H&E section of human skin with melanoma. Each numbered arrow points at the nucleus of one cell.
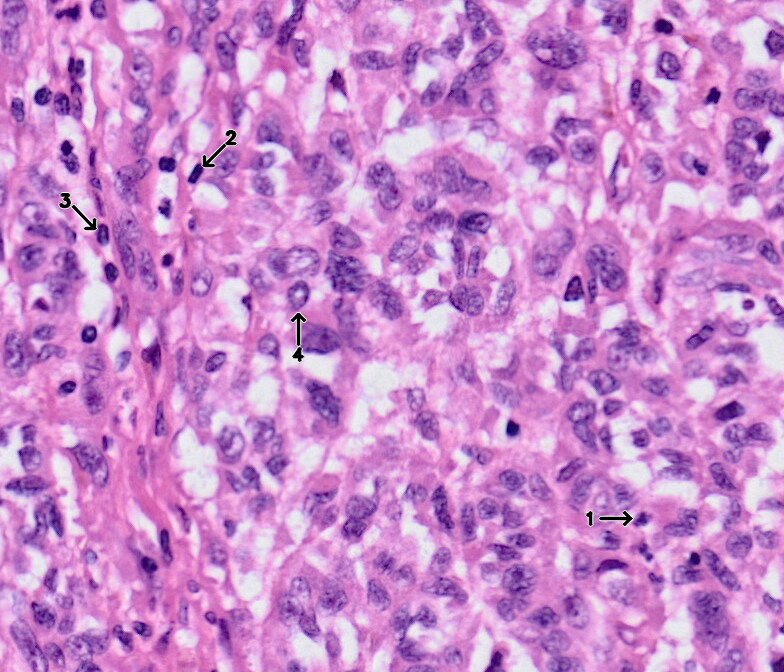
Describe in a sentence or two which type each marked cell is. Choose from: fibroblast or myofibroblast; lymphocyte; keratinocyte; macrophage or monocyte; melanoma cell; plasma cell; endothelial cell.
Cell 1 is a lymphocyte, cell 2 is a lymphocyte, cell 3 is a lymphocyte and cell 4 is a melanoma cell.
